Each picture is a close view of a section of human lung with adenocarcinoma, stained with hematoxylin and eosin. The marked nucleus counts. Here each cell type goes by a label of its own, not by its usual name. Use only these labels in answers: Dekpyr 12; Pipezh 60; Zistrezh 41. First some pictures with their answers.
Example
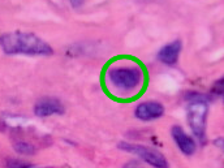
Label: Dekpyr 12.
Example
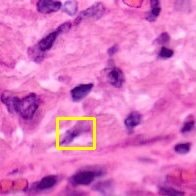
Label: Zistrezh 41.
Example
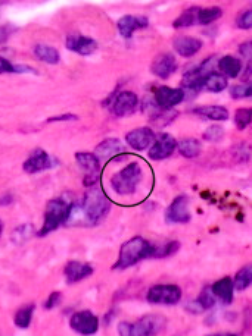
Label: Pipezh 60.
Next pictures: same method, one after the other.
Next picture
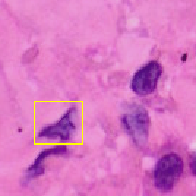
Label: Zistrezh 41.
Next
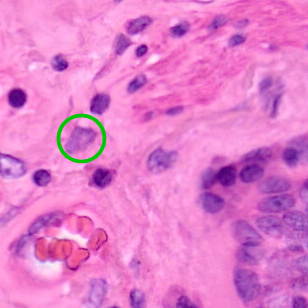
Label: Zistrezh 41.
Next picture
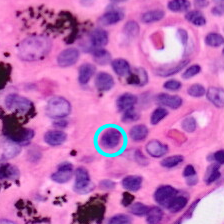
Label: Pipezh 60.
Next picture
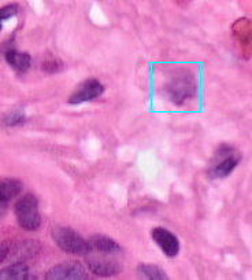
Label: Zistrezh 41.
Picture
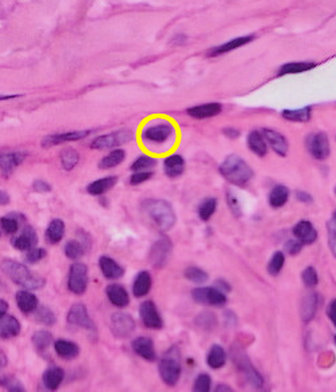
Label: Pipezh 60.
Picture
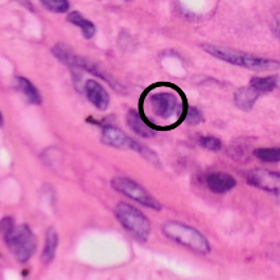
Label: Pipezh 60.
